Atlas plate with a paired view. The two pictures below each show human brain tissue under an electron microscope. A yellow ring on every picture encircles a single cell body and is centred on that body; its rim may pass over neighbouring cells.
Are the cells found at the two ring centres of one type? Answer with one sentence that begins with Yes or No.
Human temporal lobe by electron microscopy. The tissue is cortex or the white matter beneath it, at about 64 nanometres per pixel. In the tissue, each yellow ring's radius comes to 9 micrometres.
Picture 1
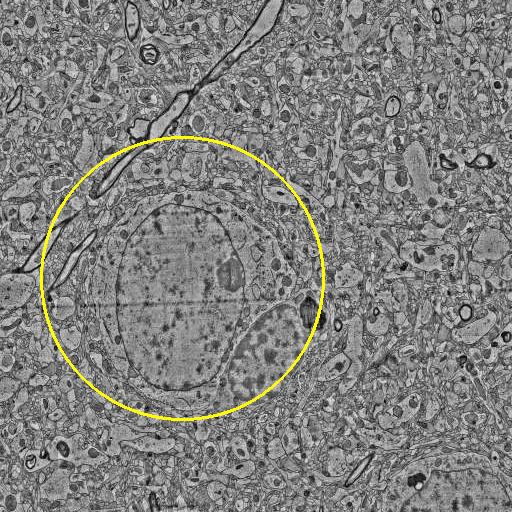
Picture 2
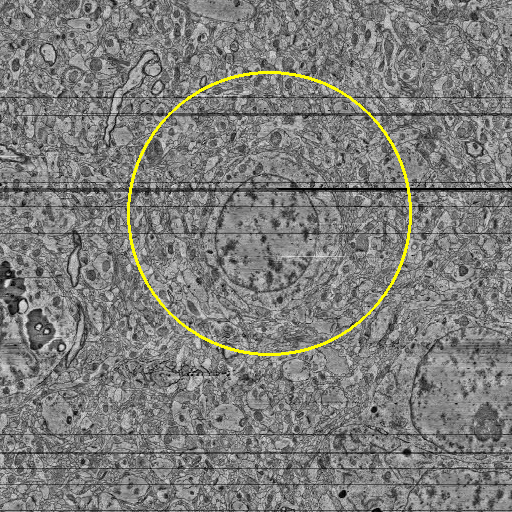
Yes, the two cells lying at the centres of the rings share a single type.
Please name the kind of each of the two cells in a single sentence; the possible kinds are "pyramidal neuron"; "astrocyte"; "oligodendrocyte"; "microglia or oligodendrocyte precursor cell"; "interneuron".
In each of the two pictures, the ringed cell is a pyramidal neuron.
